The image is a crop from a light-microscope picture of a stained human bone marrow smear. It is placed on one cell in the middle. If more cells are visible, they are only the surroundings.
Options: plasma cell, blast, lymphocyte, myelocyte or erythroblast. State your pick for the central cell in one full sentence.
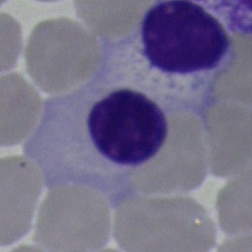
At the center of the crop sits an erythroblast.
